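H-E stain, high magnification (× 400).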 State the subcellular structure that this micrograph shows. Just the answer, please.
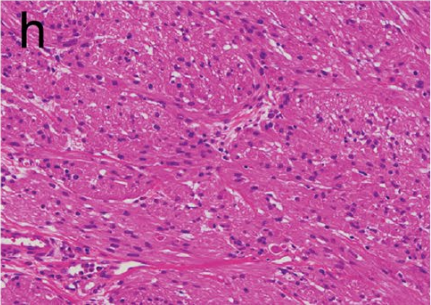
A: Eosinophilic and granule-rich cytoplasm.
